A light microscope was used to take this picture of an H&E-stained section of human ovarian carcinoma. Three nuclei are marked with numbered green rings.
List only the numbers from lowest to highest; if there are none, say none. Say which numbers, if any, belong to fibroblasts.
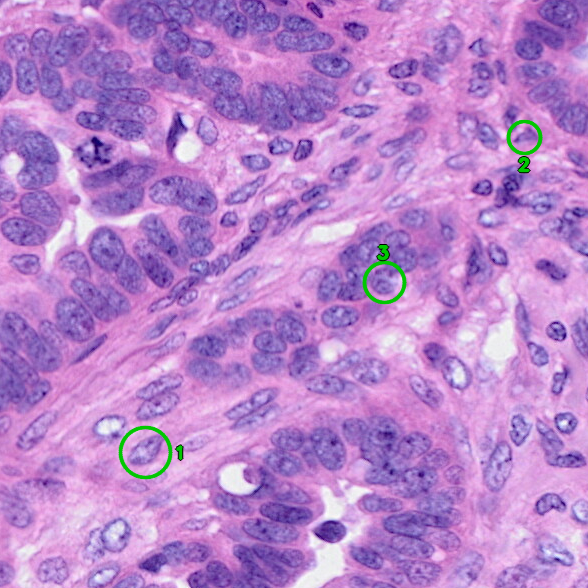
1, 2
